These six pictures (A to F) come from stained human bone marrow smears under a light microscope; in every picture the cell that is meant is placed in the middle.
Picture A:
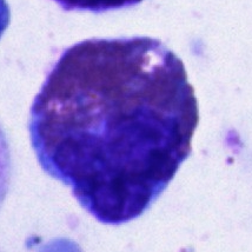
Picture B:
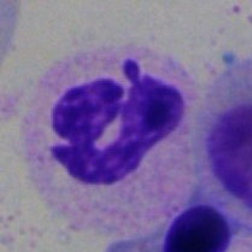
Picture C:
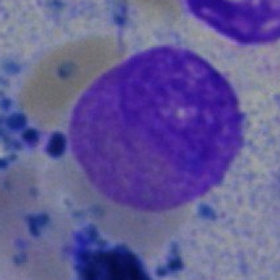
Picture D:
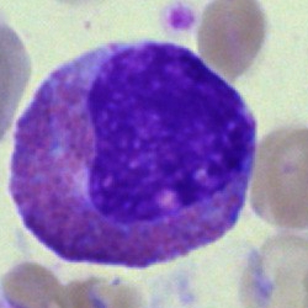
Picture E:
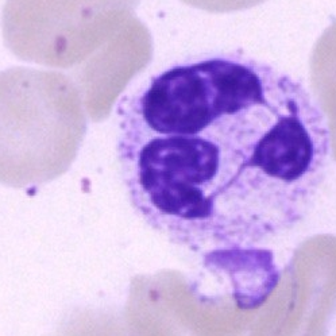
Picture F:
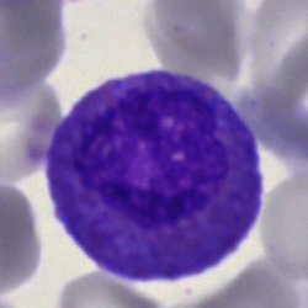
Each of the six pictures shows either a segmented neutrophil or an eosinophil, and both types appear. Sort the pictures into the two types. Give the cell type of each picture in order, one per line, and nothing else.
eosinophil
segmented neutrophil
eosinophil
eosinophil
segmented neutrophil
eosinophil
